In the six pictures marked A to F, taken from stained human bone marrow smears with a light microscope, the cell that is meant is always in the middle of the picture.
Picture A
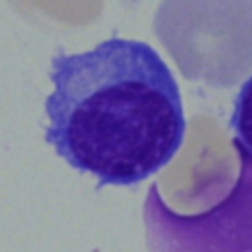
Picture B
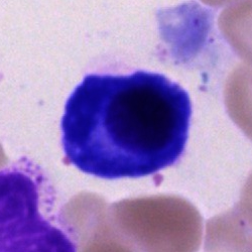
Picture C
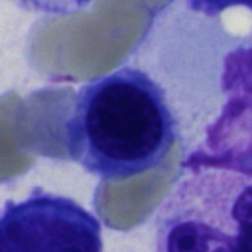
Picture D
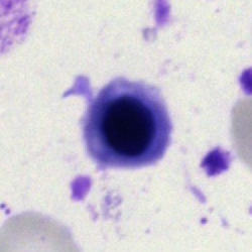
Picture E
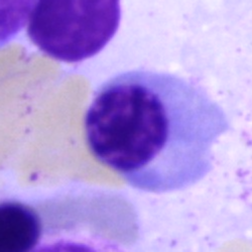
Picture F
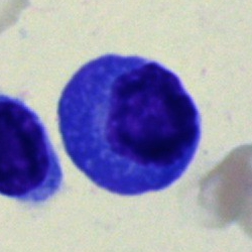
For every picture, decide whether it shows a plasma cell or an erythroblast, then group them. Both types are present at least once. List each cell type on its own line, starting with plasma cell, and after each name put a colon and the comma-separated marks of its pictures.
plasma cell: A, B, F
erythroblast: C, D, E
